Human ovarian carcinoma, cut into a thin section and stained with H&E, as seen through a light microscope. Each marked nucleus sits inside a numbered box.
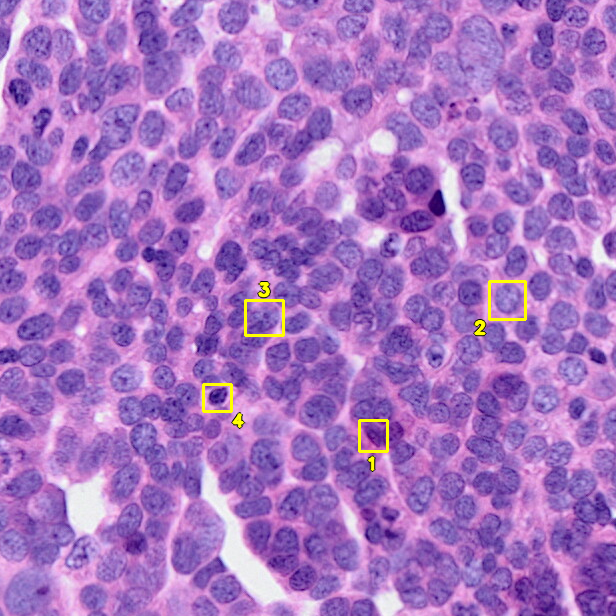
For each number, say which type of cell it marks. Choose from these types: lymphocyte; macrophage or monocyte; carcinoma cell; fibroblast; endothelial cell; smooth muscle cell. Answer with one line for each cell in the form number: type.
1: carcinoma cell
2: carcinoma cell
3: carcinoma cell
4: lymphocyte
